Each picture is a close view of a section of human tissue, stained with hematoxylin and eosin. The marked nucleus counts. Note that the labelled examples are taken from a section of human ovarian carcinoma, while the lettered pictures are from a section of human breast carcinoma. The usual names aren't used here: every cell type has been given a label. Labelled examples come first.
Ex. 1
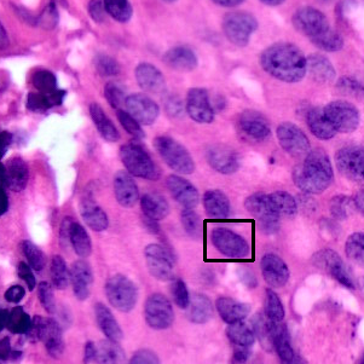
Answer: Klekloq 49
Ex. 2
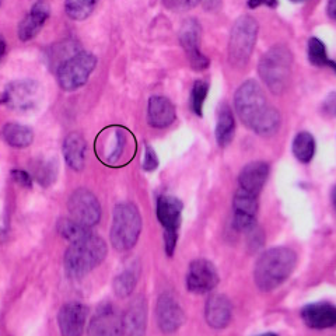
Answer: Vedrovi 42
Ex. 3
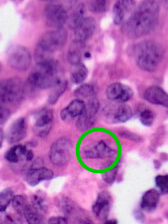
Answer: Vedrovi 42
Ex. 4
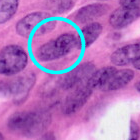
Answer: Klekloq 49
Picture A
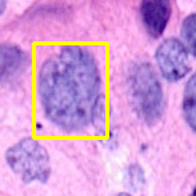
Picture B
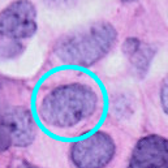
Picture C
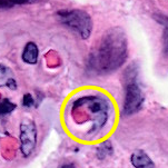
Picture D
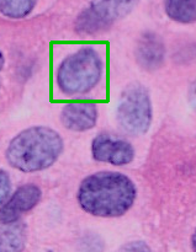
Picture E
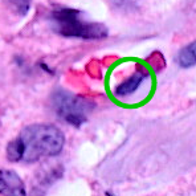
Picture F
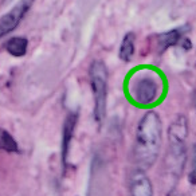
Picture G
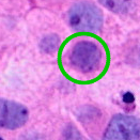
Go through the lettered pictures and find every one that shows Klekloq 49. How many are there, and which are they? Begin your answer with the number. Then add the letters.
4, namely A, B, D, G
